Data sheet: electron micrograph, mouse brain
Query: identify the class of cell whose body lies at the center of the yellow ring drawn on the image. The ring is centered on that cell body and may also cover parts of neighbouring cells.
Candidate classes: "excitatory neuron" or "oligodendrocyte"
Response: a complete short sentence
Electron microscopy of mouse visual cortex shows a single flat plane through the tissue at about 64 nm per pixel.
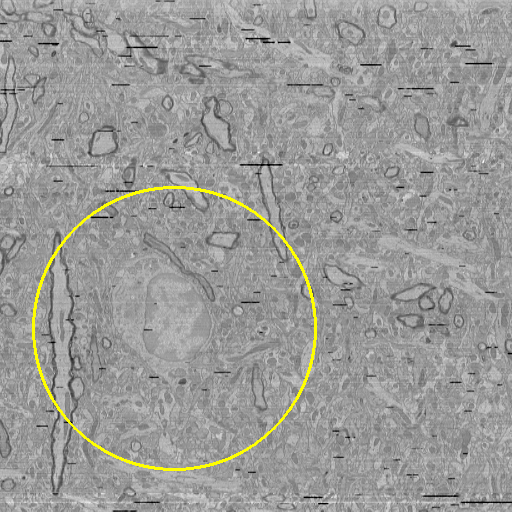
At the center of the ring lies an oligodendrocyte.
